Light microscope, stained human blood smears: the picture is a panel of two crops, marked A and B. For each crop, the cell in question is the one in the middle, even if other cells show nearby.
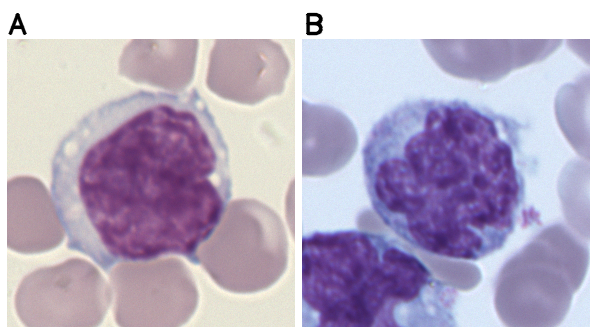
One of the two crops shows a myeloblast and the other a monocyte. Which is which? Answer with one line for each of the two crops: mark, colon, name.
A: myeloblast
B: monocyte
